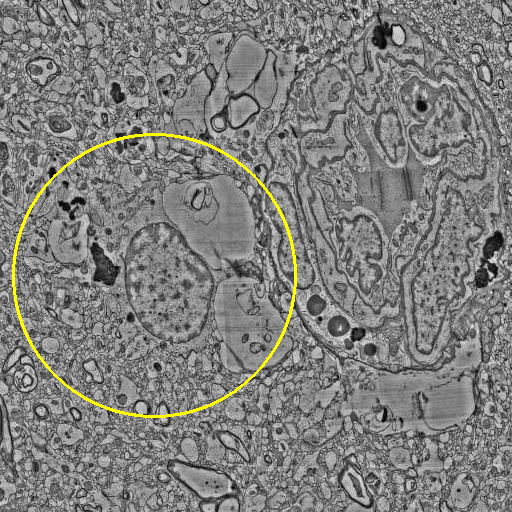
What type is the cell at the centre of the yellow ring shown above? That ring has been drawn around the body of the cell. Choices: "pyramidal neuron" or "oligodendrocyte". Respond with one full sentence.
My answer is that an oligodendrocyte lies at the centre of the yellow ring above.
